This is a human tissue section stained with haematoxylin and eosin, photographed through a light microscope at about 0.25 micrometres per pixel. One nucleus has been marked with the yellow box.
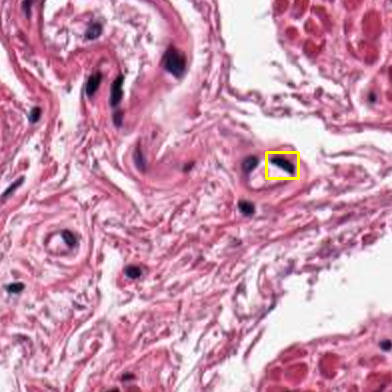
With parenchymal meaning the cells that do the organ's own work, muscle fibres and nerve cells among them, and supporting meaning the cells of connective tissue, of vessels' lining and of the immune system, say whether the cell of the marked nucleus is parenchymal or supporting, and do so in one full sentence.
The marked nucleus is seen within a supporting cell.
